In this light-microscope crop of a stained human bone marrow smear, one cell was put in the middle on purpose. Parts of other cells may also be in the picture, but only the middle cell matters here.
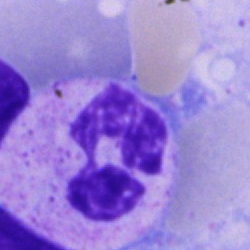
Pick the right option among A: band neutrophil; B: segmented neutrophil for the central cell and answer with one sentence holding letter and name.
Answer key: option B, the middle cell being a segmented neutrophil.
